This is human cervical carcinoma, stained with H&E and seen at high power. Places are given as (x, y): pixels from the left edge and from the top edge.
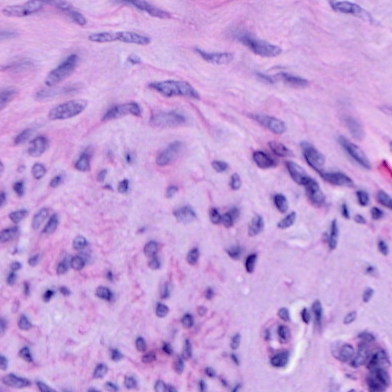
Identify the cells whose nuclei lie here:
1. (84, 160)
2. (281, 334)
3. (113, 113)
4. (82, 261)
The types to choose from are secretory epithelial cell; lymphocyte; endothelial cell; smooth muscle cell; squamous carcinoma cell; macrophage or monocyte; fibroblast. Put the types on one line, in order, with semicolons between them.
smooth muscle cell; endothelial cell; smooth muscle cell; smooth muscle cell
